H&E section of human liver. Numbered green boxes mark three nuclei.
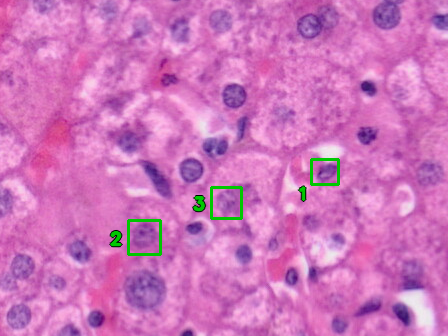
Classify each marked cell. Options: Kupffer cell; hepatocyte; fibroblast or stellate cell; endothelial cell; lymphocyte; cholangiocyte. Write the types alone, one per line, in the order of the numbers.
Kupffer cell
hepatocyte
hepatocyte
